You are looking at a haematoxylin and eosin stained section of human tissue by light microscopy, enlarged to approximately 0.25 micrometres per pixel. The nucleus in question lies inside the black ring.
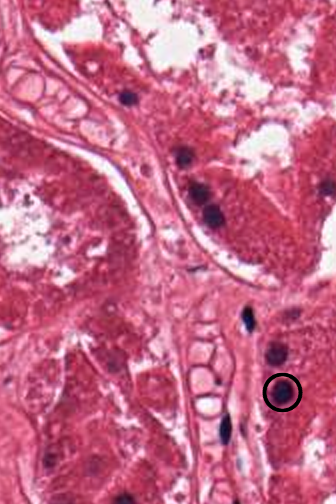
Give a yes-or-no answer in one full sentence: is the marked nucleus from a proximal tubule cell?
Yes, a proximal tubule cell is the cell to which the marked nucleus belongs.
